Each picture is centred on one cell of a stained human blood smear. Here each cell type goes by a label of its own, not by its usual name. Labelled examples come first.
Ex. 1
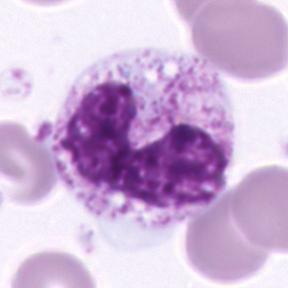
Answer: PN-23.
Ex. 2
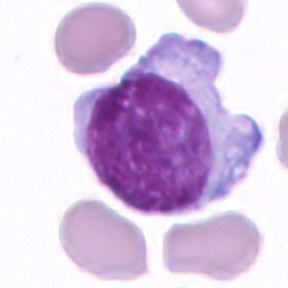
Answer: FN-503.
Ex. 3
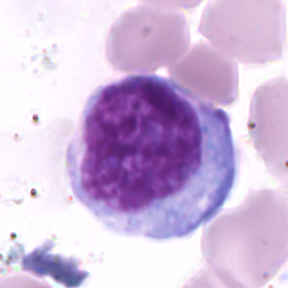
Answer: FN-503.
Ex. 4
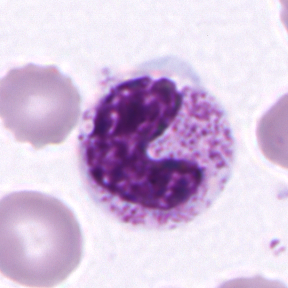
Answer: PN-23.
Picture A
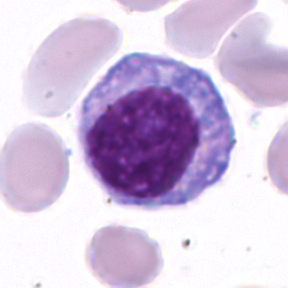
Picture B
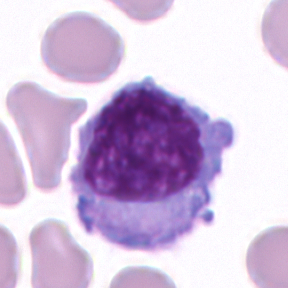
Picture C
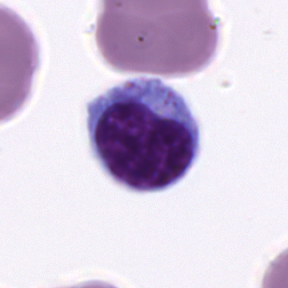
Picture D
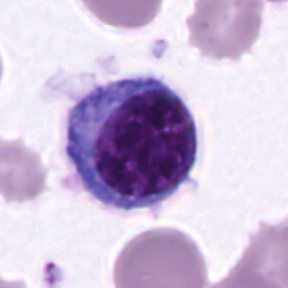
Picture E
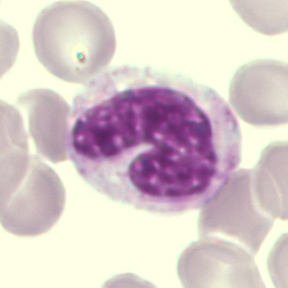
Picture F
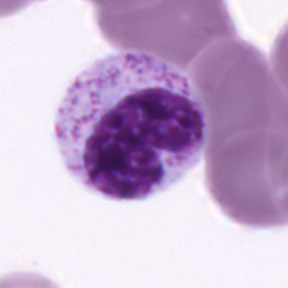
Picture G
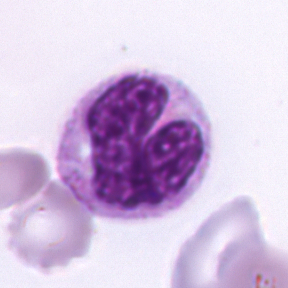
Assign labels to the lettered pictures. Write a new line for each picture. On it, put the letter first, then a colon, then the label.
A: FN-503.
B: FN-503.
C: FN-503.
D: FN-503.
E: PN-23.
F: PN-23.
G: PN-23.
